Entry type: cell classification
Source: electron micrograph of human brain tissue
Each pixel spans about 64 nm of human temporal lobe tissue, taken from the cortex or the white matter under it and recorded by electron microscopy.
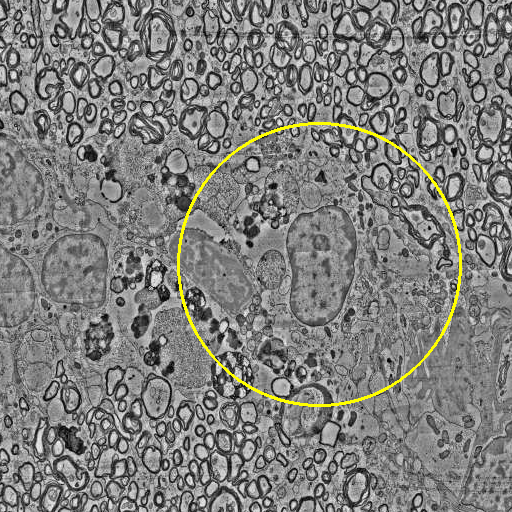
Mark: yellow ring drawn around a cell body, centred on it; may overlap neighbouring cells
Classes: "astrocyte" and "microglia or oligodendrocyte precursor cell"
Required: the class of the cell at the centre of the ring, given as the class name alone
microglia or oligodendrocyte precursor cell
